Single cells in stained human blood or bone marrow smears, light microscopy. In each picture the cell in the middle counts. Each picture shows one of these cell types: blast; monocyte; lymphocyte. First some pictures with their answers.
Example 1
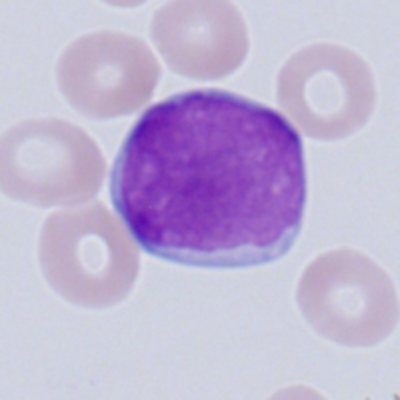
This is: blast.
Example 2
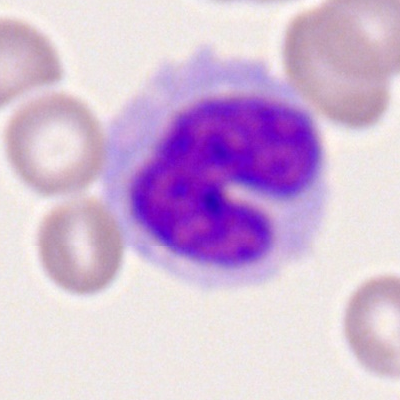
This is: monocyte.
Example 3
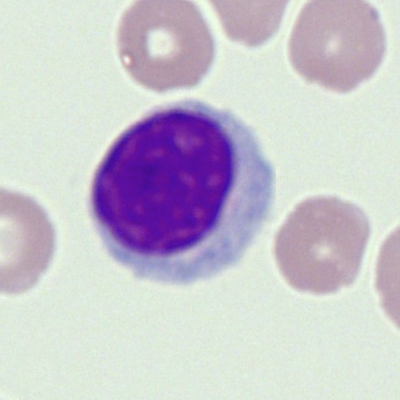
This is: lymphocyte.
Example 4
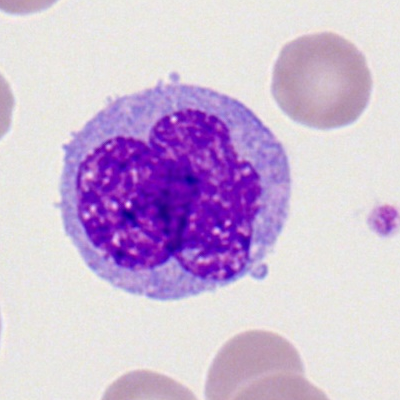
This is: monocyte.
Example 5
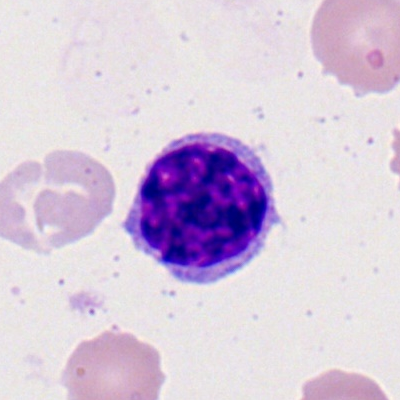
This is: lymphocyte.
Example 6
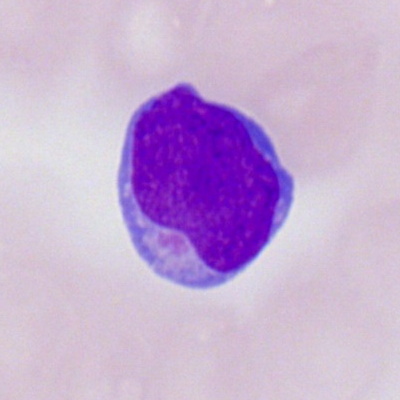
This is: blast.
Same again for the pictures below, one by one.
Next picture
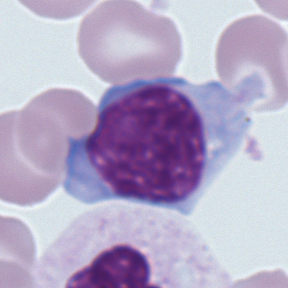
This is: lymphocyte.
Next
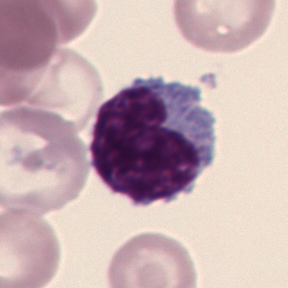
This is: lymphocyte.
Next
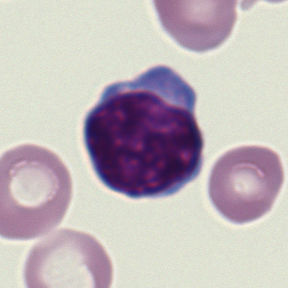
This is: lymphocyte.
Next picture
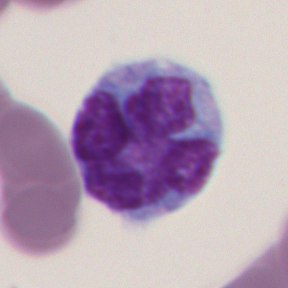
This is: monocyte.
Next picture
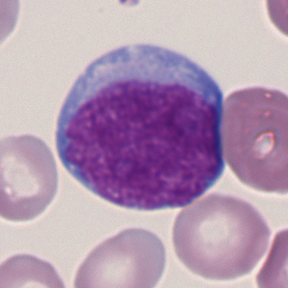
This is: blast.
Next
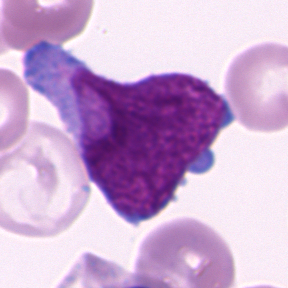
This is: blast.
